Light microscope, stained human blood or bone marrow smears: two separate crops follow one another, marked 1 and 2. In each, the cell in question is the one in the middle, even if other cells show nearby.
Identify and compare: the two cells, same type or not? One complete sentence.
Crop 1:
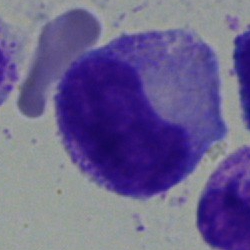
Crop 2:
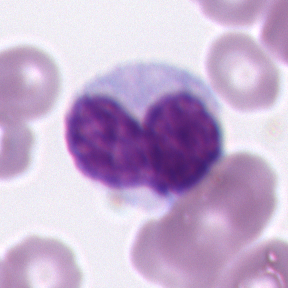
No, the central cell of crop 1 is a metamyelocyte; that of crop 2 is a monocyte.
